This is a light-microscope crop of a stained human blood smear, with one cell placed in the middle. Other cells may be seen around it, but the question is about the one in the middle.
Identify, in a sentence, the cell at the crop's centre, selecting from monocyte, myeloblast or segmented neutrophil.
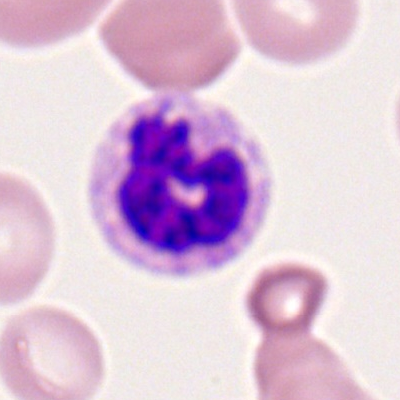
The cell at the heart of this crop is a segmented neutrophil.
